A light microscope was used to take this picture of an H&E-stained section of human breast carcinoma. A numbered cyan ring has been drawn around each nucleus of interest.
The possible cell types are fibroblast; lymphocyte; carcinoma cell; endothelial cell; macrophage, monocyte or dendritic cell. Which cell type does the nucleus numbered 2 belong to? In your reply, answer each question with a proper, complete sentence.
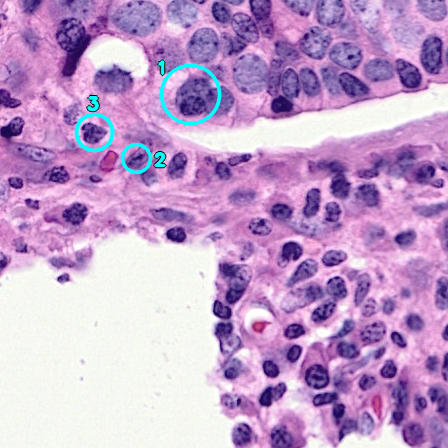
The cell carrying label 2 is identified as an endothelial cell.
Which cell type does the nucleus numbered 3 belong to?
The correct answer for cell 3 is a lymphocyte.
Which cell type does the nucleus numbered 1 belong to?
The cell indicated by marker 1 is a carcinoma cell in this section.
